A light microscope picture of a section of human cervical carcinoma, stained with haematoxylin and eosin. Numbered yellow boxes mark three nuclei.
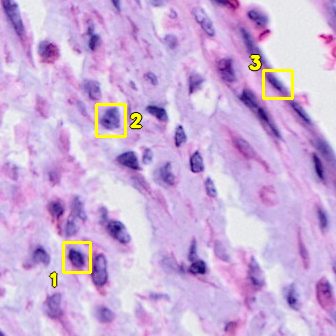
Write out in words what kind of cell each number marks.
Cells 1 and 2 are lymphocytes. Cell 3 is an endothelial cell.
